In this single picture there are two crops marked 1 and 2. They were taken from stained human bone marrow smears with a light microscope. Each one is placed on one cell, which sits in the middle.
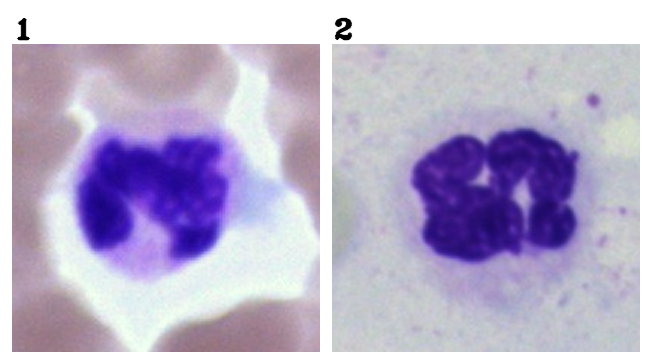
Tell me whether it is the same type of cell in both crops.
yes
